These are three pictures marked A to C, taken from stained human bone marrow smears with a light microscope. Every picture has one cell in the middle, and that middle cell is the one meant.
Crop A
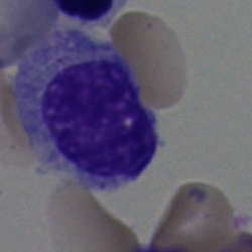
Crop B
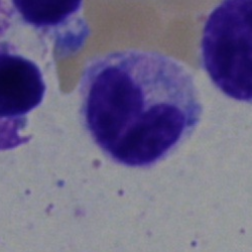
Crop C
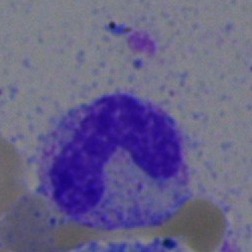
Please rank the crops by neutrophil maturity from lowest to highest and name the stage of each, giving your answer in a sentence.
Once sorted from least to most mature, the sequence is crop A (a myelocyte), crop B (a metamyelocyte) and crop C (a band neutrophil).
